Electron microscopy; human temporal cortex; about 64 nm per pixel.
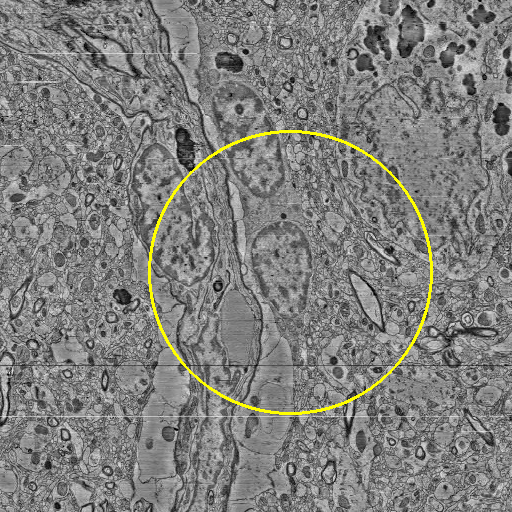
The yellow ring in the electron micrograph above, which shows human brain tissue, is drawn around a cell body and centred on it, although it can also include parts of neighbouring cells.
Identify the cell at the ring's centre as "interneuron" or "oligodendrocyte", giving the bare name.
oligodendrocyte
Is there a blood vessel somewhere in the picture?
Yes, the image shows a blood vessel.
